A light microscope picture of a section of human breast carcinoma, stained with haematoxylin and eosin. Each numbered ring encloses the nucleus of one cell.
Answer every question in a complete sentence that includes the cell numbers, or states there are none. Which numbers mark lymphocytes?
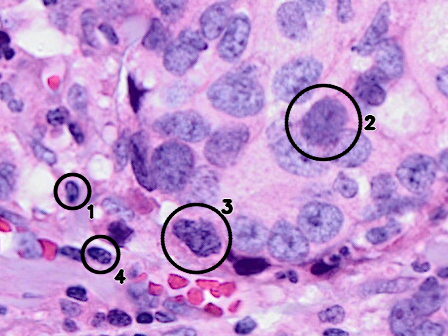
The cells picked out by numbers 1 and 4 are lymphocytes.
